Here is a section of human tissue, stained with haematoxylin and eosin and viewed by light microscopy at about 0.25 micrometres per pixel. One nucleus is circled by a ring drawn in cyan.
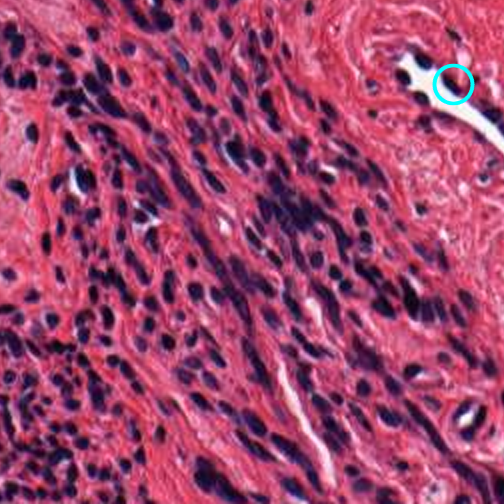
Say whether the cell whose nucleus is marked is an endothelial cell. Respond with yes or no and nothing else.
yes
